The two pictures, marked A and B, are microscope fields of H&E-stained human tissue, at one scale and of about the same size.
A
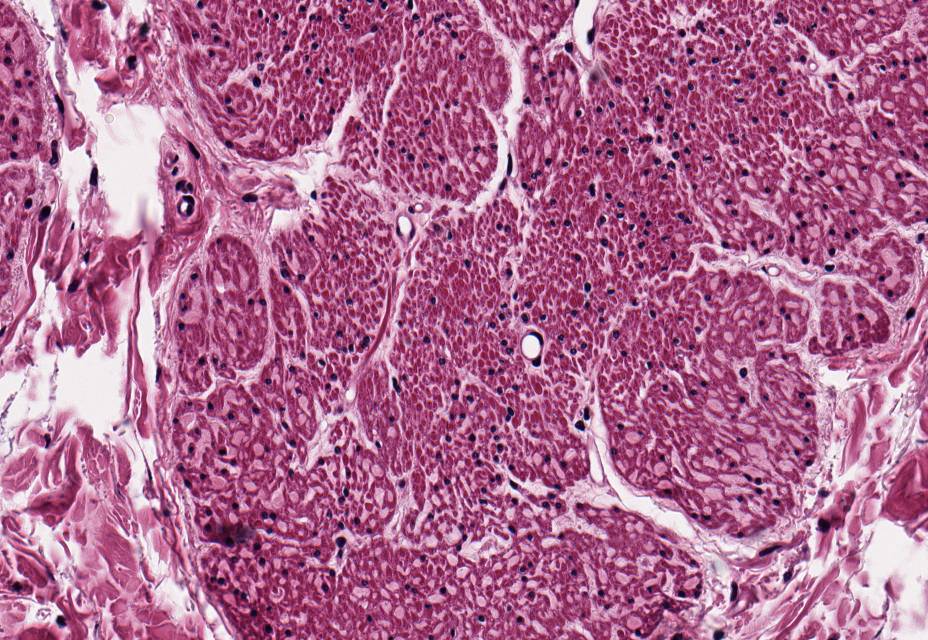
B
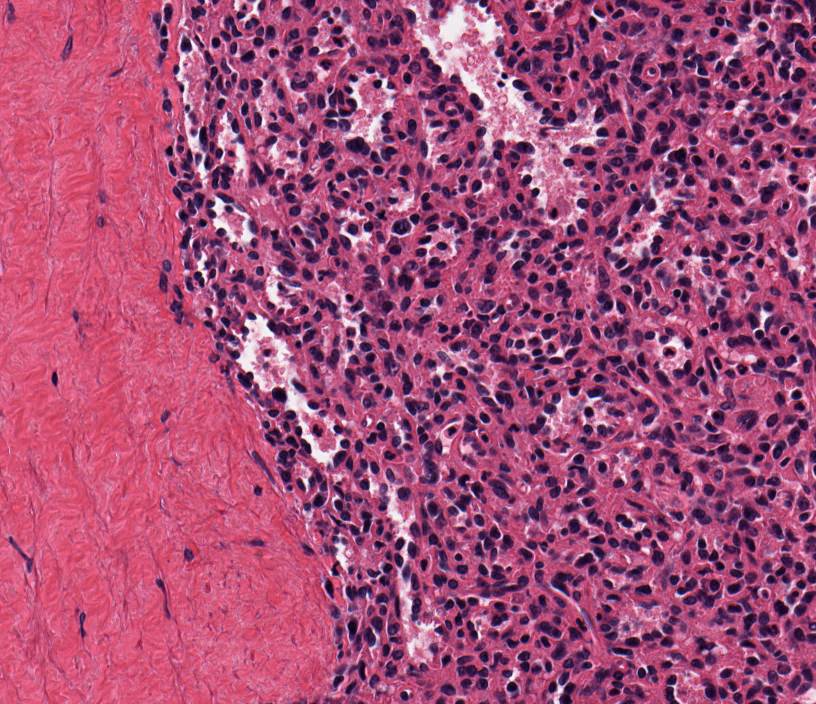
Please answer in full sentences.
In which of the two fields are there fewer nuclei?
Fewer nuclei lie in picture A than in picture B.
